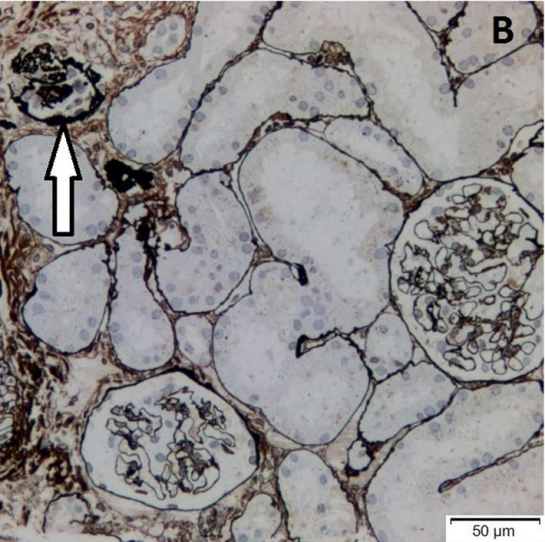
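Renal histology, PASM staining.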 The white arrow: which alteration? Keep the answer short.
Global glomerulosclerosis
